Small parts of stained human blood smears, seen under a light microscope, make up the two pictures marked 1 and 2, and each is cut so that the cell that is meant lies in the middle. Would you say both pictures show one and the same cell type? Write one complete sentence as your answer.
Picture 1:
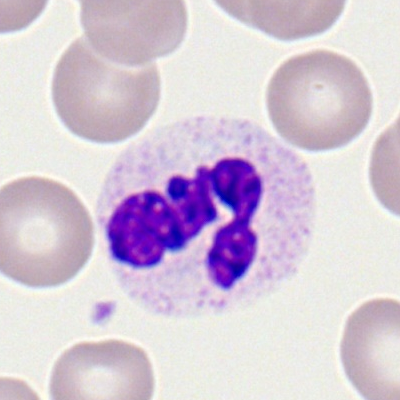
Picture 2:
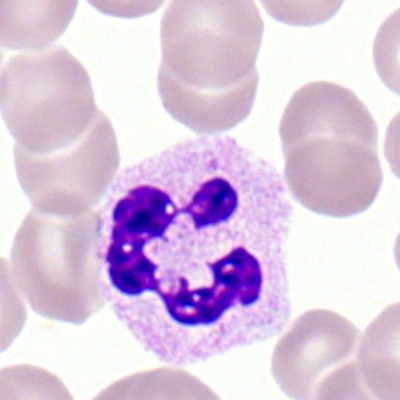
Yes, the two pictures both show segmented neutrophils.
